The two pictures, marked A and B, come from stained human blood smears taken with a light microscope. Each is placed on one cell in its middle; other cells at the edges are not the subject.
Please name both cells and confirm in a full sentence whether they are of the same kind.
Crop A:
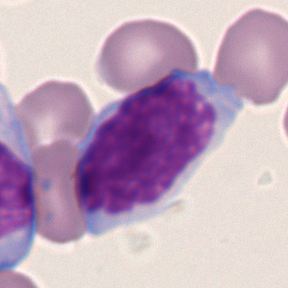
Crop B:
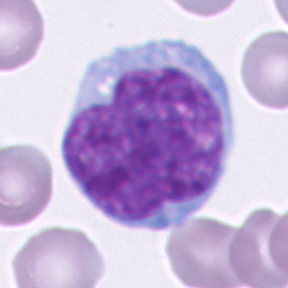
Yes, both of the crops show myeloblasts.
